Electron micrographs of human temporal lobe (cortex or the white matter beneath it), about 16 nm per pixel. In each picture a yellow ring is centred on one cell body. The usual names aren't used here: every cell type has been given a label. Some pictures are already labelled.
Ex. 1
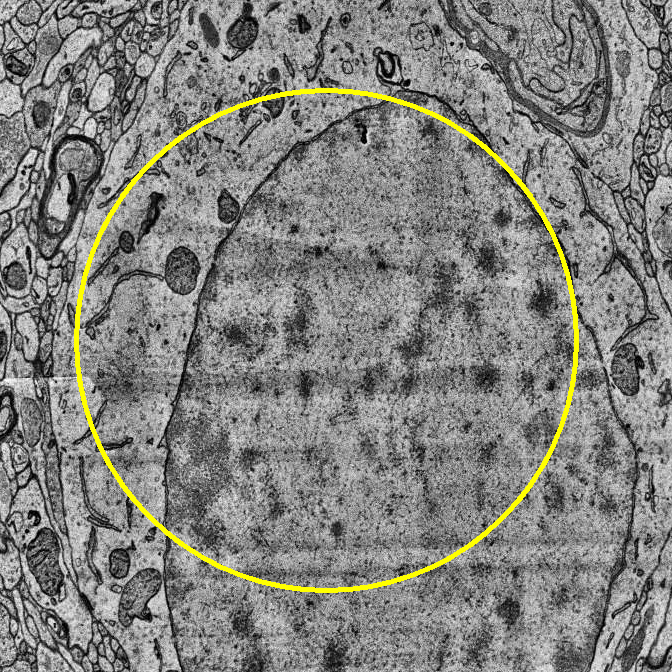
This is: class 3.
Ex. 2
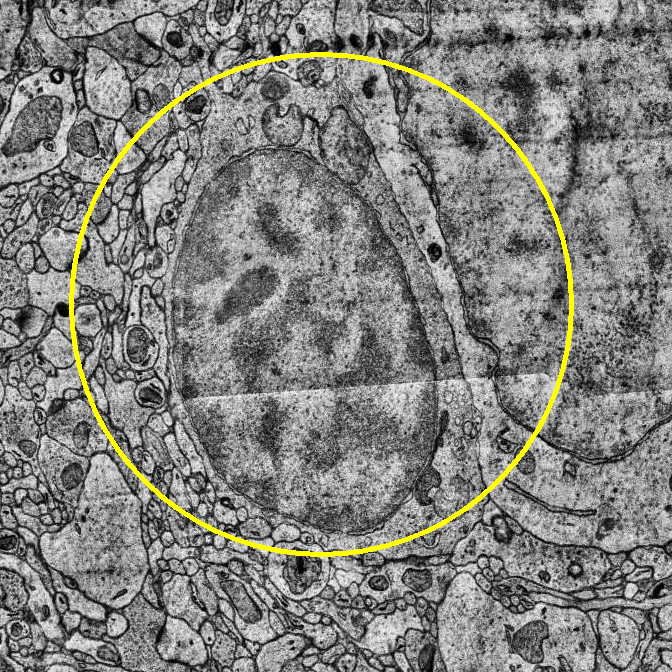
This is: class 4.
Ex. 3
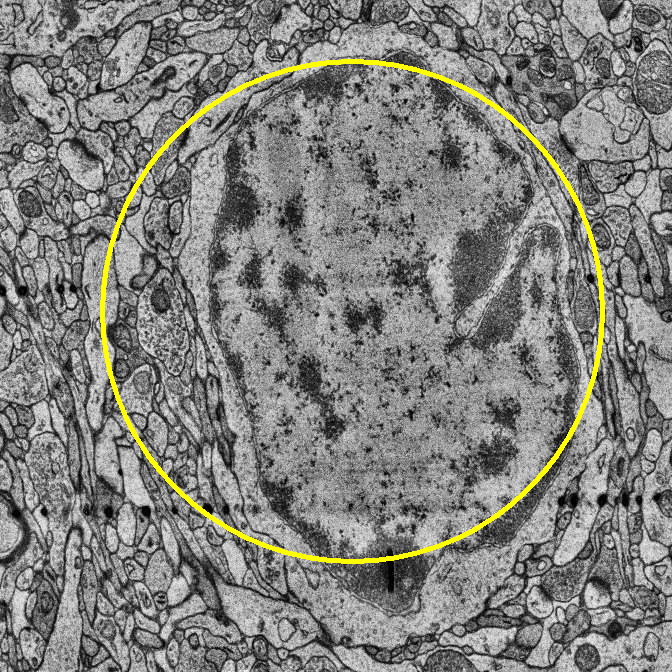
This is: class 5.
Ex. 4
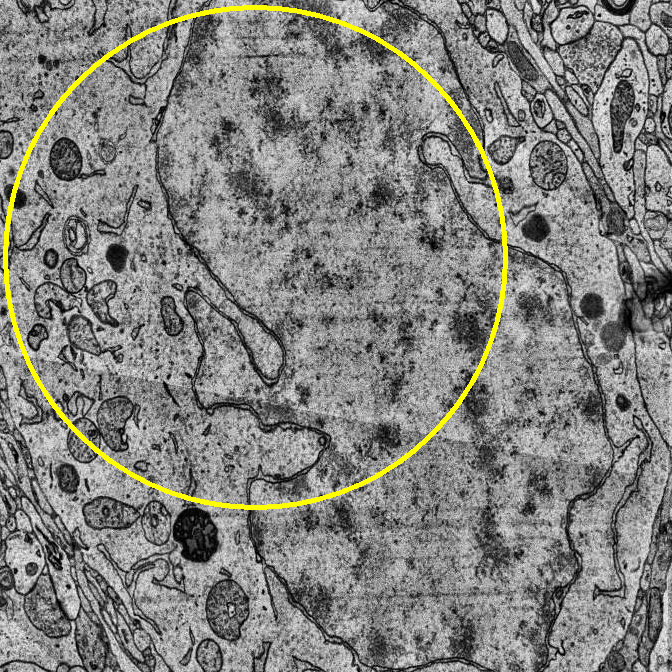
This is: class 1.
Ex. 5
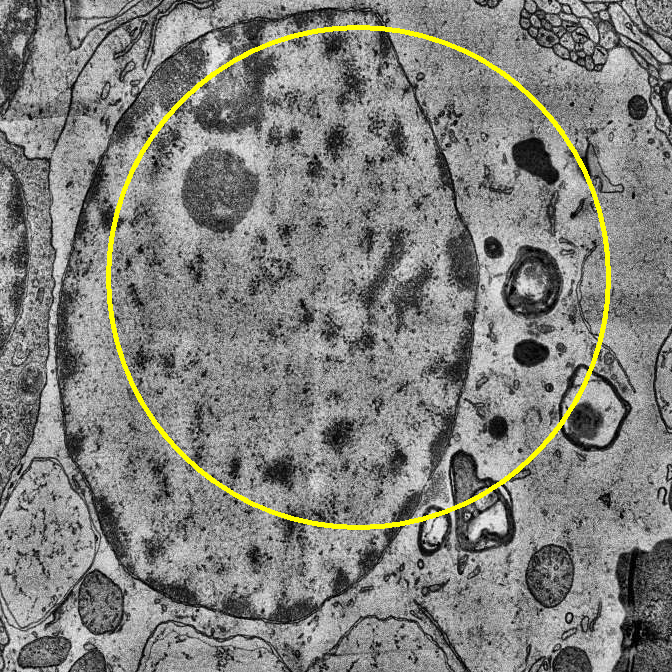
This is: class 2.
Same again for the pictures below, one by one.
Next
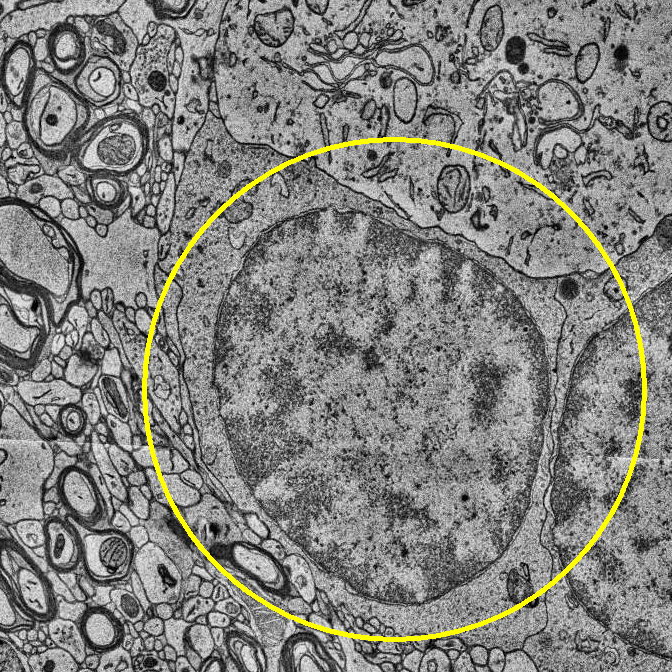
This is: class 4.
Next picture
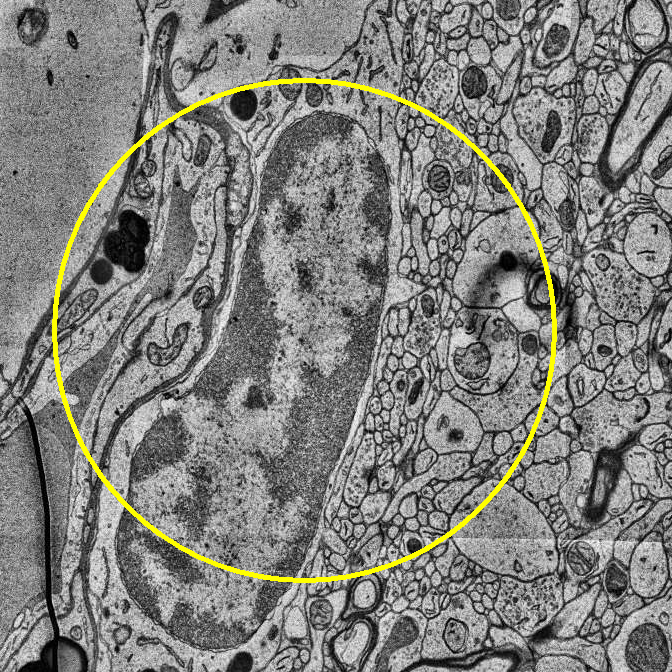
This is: class 5.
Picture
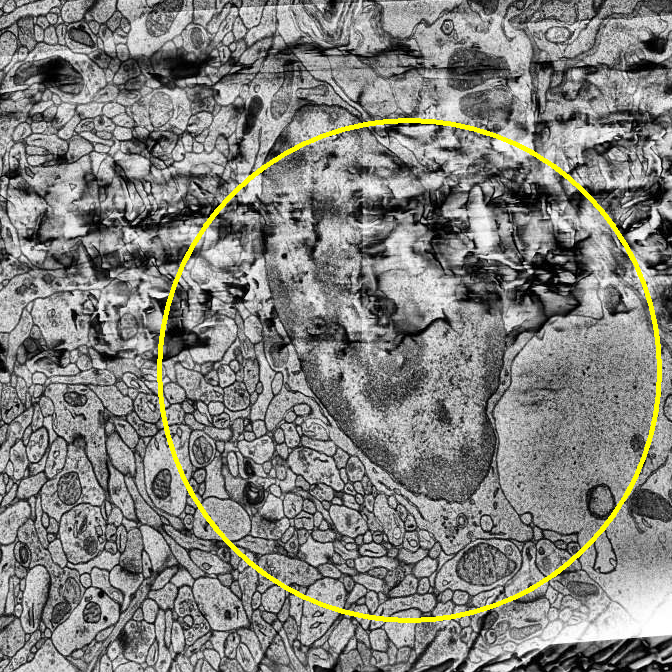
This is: class 5.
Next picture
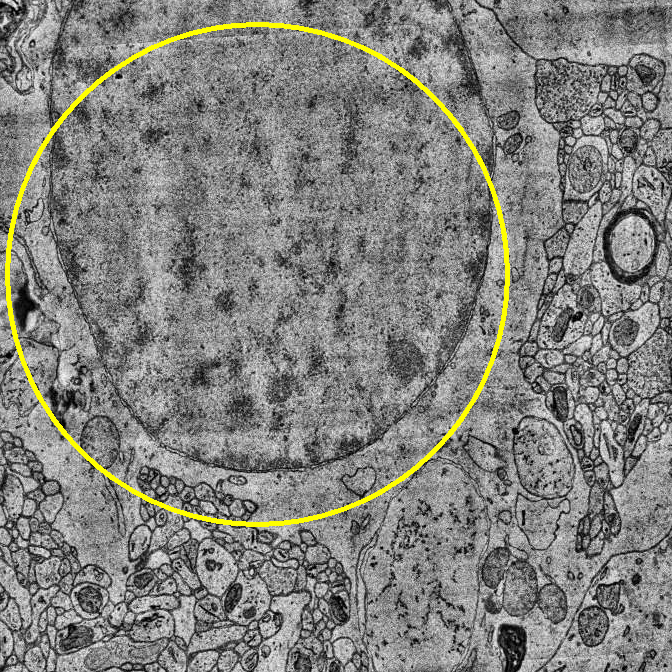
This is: class 2.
